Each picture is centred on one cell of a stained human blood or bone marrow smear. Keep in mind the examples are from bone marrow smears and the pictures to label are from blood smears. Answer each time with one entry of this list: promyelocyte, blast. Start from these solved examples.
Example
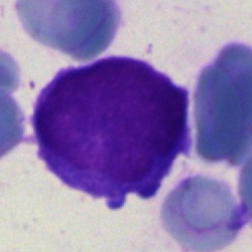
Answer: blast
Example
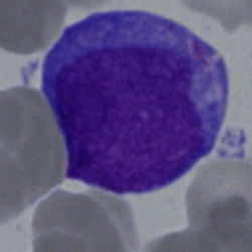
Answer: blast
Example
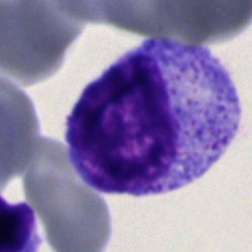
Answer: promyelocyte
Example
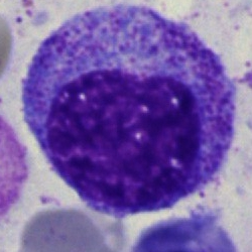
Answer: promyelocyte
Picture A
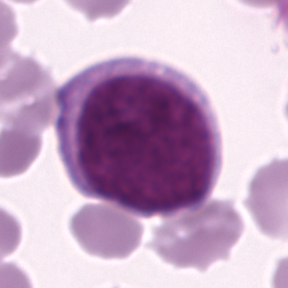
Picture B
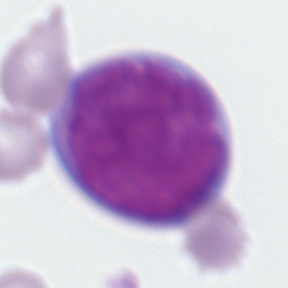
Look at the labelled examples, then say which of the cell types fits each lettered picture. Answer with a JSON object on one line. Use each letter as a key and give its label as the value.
{"A": "blast", "B": "blast"}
